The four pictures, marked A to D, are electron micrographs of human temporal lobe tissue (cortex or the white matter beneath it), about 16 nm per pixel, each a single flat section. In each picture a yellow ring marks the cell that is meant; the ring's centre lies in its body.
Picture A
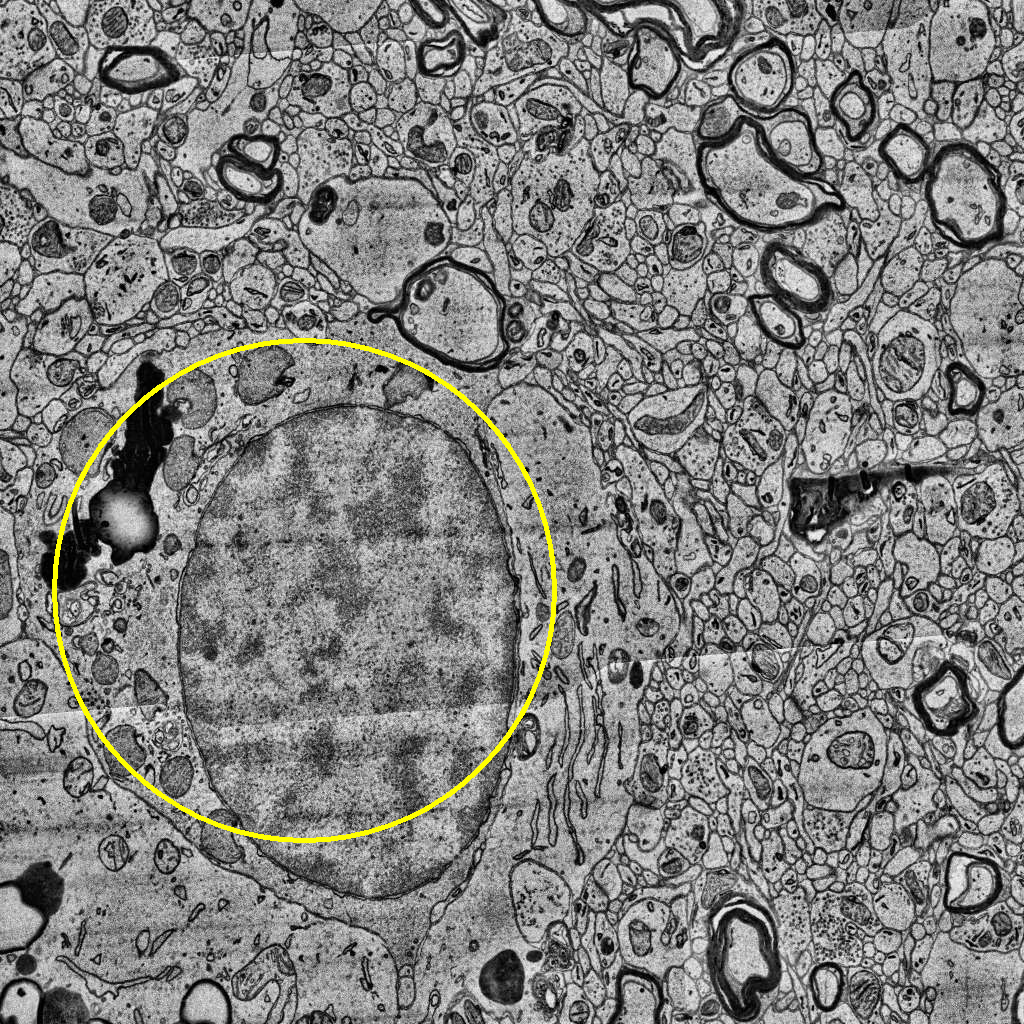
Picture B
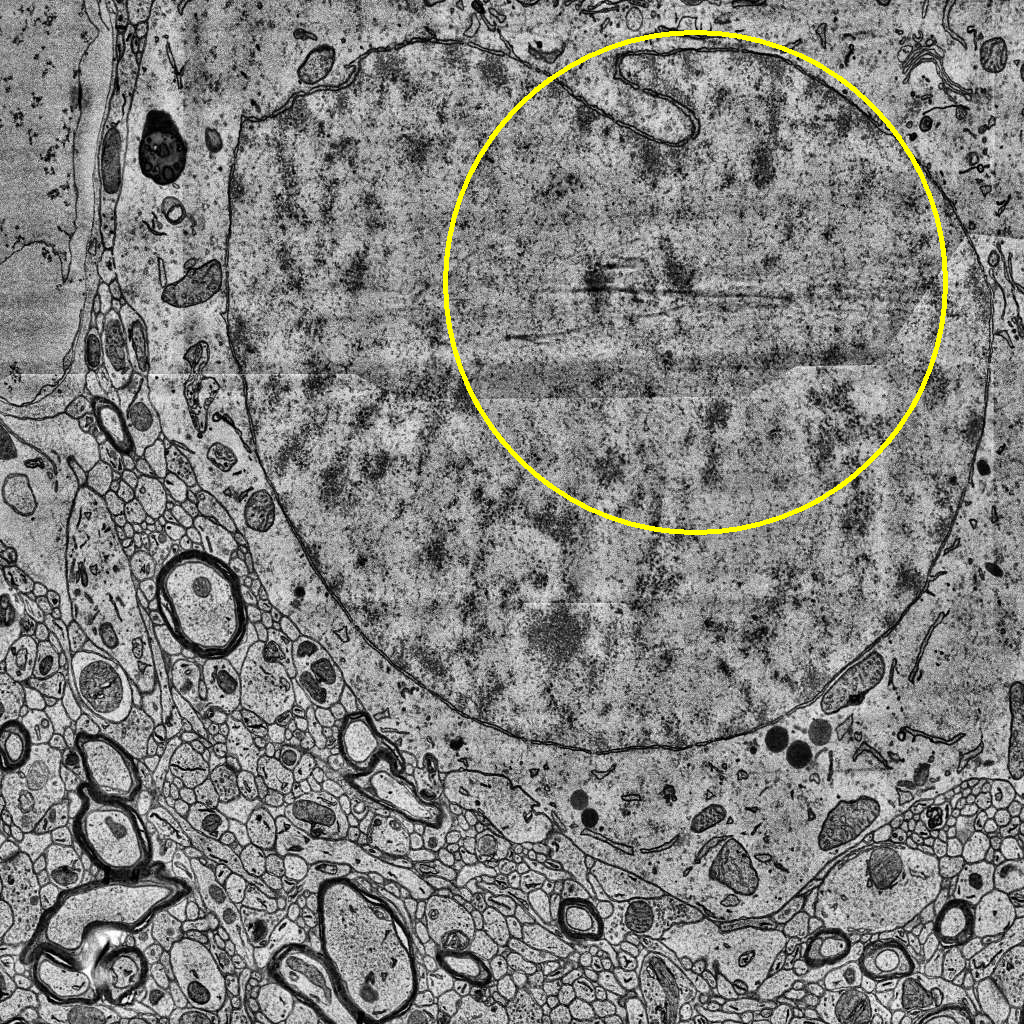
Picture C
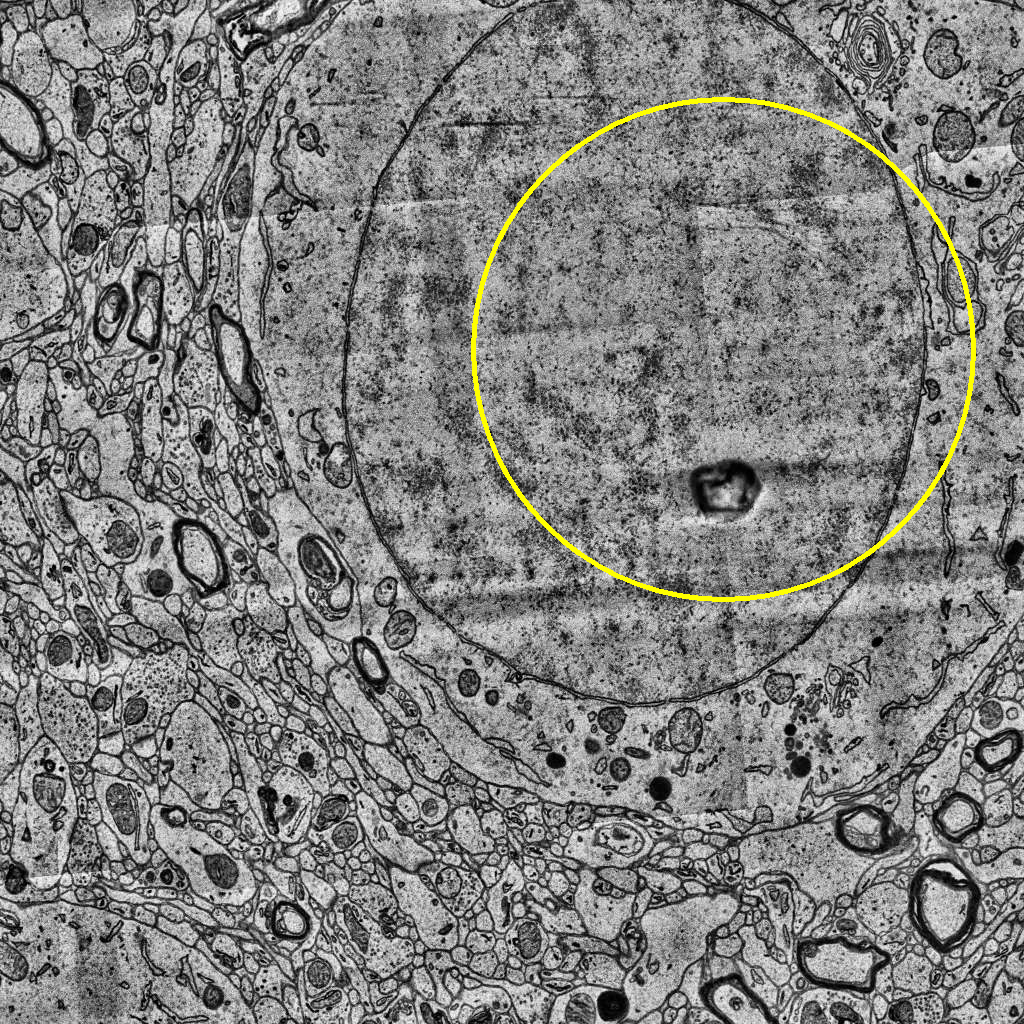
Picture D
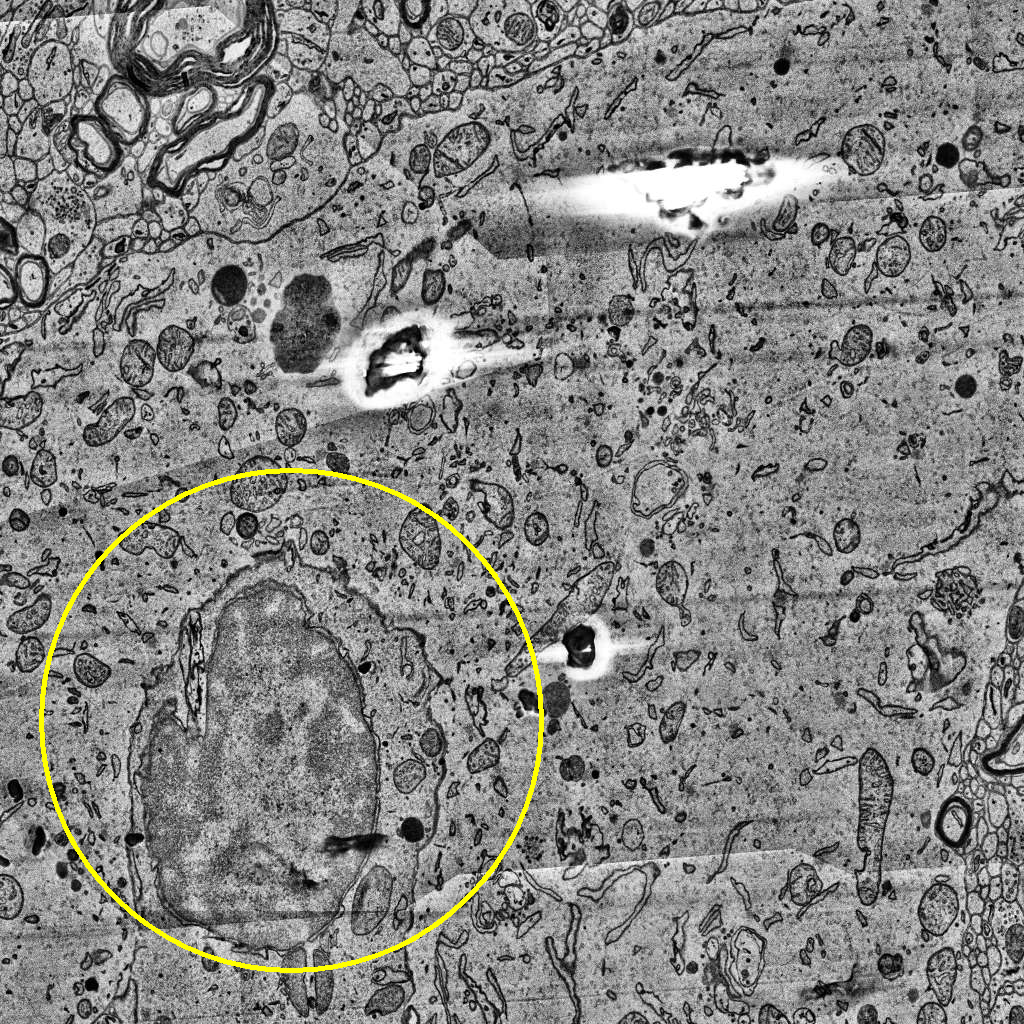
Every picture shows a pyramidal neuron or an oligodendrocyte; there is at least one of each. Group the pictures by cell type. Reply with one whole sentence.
Pictures B and C show pyramidal neurons, while pictures A and D show oligodendrocytes.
